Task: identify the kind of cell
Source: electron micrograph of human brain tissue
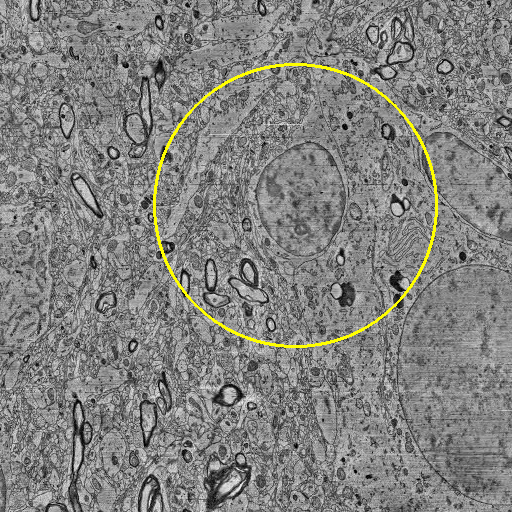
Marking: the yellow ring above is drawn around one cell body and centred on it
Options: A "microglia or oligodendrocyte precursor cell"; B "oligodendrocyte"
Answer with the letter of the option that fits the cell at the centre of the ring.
A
